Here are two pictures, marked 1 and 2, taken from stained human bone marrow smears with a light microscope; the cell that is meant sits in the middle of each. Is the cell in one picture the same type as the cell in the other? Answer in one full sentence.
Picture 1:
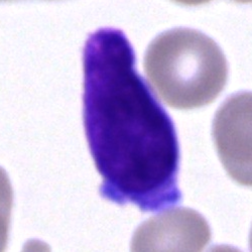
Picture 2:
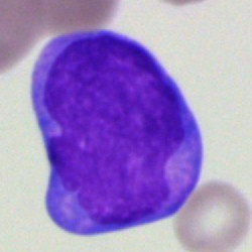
No, they differ: the cell is a lymphocyte in picture 1 and a blast in picture 2.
